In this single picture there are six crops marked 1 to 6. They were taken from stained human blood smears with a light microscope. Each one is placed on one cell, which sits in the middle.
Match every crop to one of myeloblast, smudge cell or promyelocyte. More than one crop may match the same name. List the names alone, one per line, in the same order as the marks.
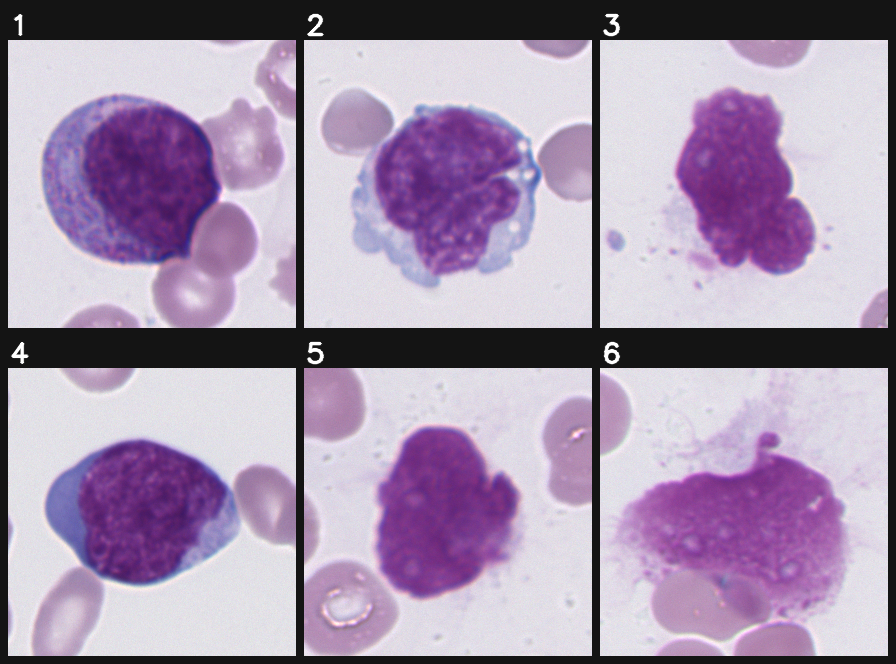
promyelocyte
myeloblast
smudge cell
myeloblast
smudge cell
smudge cell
